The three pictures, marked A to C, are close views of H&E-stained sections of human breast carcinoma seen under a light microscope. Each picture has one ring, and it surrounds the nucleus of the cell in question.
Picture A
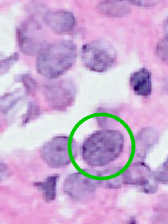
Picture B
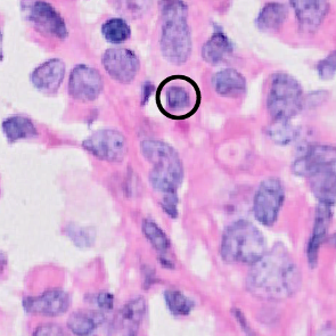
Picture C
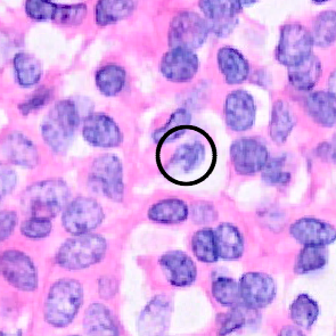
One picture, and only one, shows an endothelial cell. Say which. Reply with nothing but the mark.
B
